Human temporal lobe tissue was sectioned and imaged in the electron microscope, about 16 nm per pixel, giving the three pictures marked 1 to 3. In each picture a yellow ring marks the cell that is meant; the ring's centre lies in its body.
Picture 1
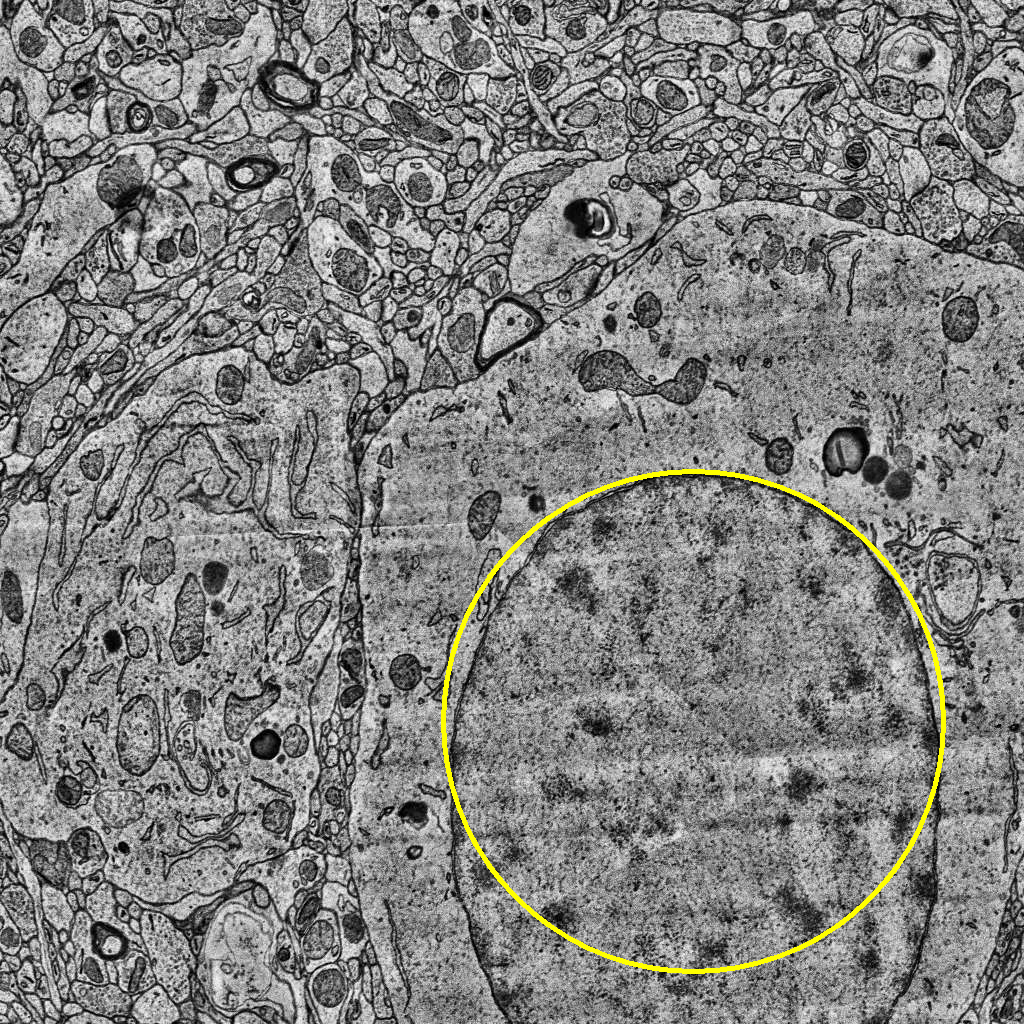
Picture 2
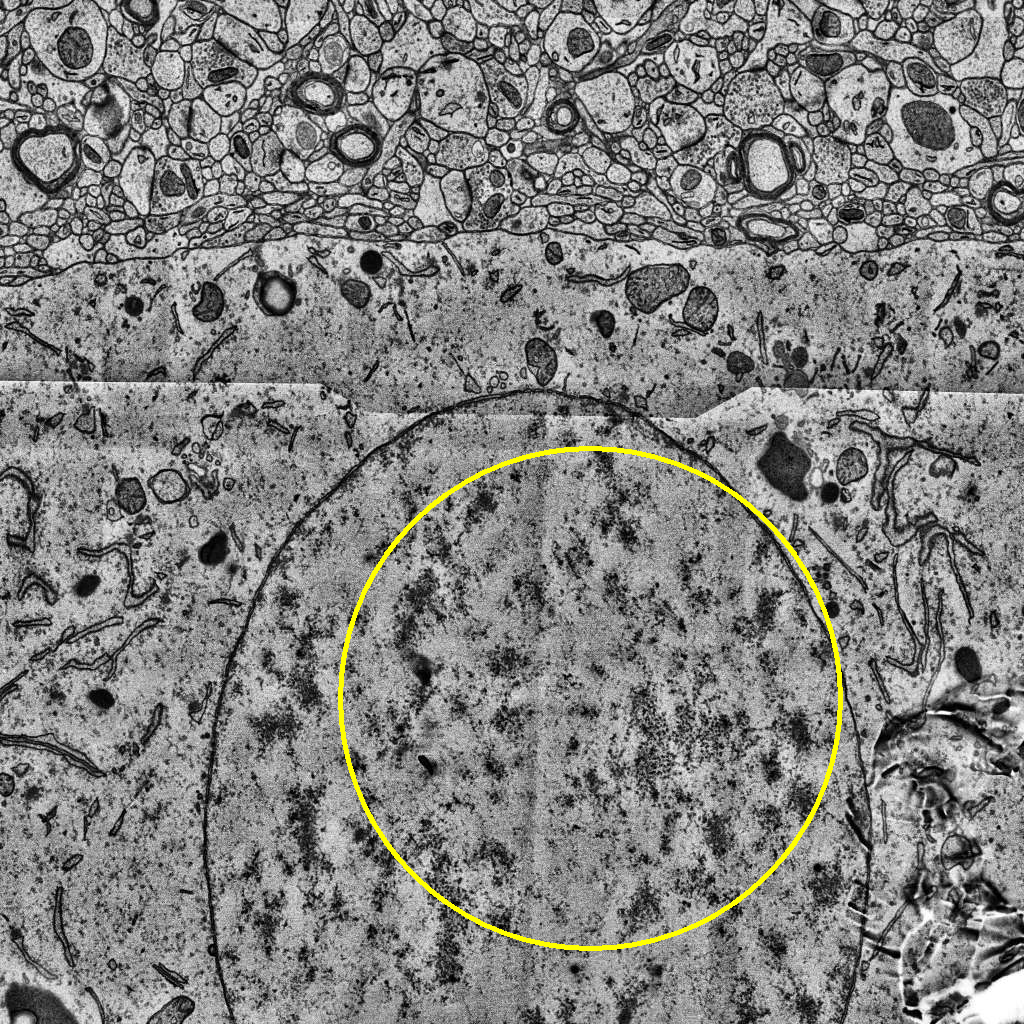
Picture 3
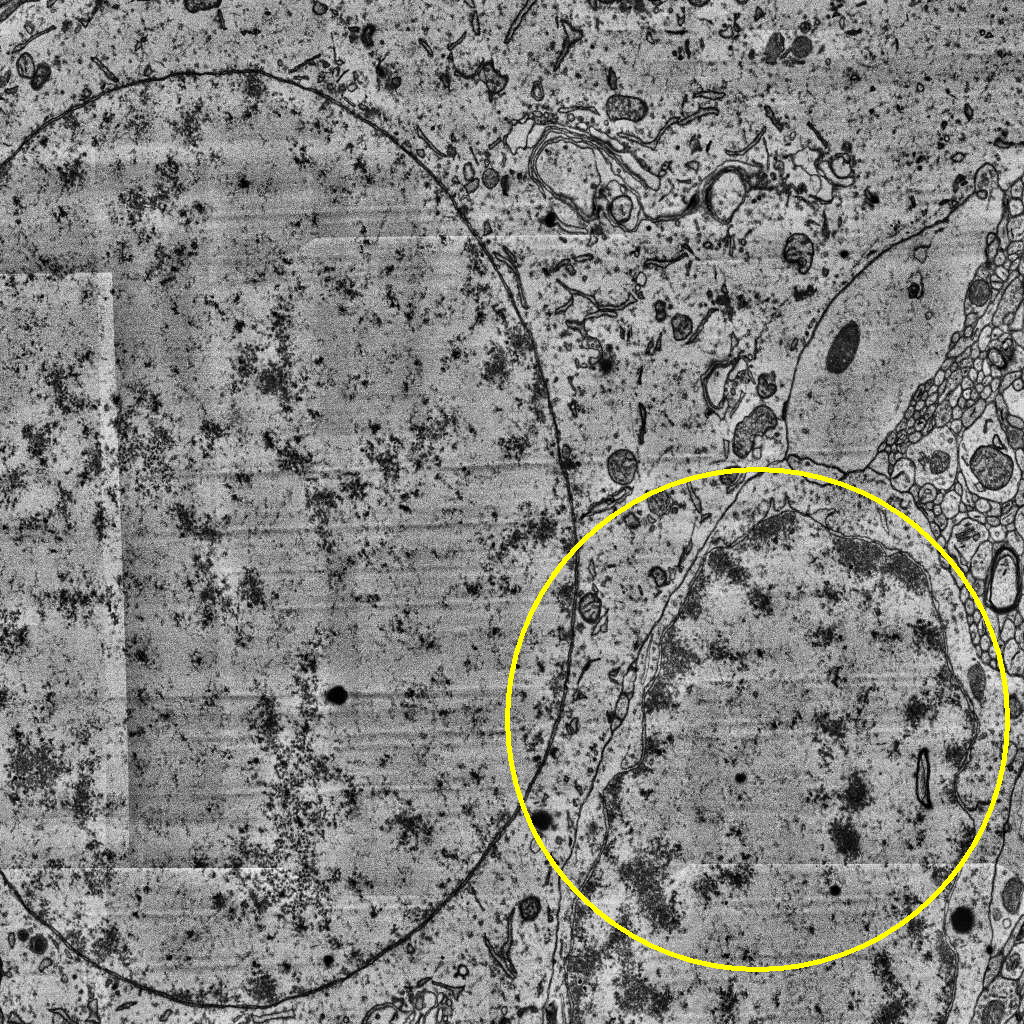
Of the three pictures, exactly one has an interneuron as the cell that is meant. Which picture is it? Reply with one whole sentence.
It is picture 3 that shows the interneuron.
